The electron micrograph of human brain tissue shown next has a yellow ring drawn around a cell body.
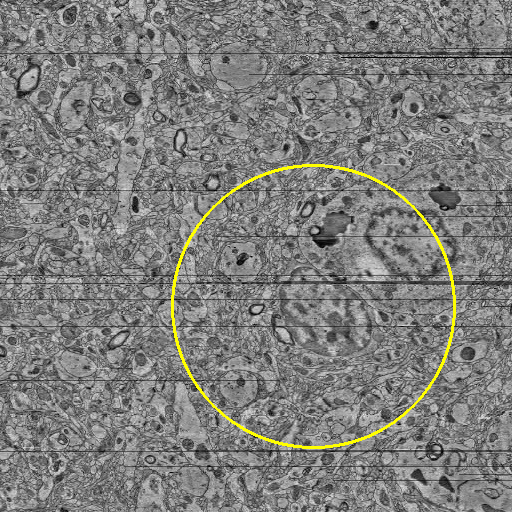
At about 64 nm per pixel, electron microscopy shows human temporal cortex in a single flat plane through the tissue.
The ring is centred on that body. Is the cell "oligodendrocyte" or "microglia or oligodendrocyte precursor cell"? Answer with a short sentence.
The cell in question is an oligodendrocyte.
